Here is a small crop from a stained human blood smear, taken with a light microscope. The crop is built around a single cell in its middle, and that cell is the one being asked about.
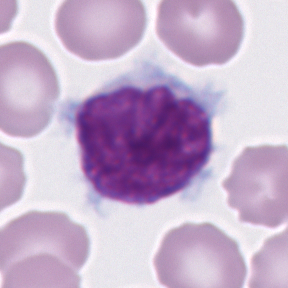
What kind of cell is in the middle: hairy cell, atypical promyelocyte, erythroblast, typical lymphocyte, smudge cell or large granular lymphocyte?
hairy cell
